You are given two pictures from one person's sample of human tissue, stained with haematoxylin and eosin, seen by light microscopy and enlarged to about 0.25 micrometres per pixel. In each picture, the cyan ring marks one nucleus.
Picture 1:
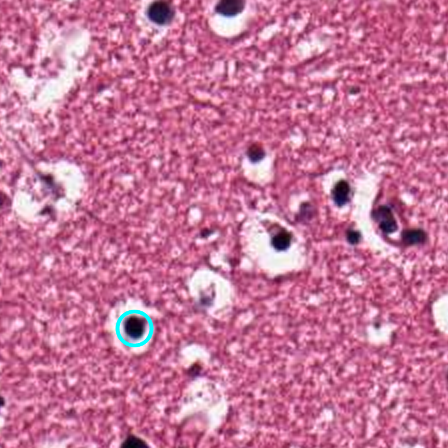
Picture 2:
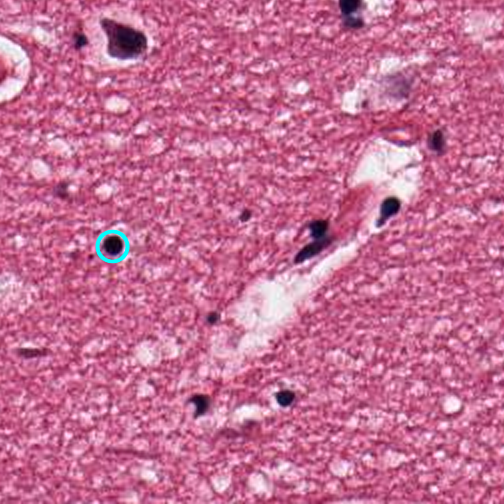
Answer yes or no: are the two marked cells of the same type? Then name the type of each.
Yes, both are oligodendrocytes.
